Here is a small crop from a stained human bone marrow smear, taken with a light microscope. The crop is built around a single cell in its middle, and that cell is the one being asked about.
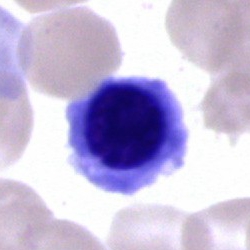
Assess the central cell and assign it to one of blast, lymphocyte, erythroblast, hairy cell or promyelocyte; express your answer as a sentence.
What the crop centres on is an erythroblast.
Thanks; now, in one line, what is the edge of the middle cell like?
An uneven margin is present, with either ragged stretches or outward projections.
